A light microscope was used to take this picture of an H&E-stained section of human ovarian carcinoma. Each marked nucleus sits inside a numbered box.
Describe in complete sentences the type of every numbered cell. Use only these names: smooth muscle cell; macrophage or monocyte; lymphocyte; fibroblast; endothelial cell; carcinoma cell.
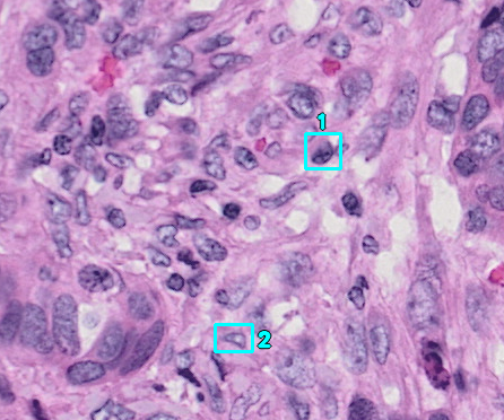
Cell 1 is a lymphocyte. Cell 2 is a fibroblast.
